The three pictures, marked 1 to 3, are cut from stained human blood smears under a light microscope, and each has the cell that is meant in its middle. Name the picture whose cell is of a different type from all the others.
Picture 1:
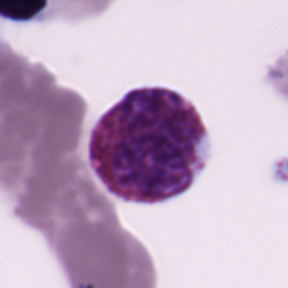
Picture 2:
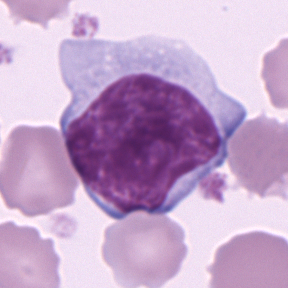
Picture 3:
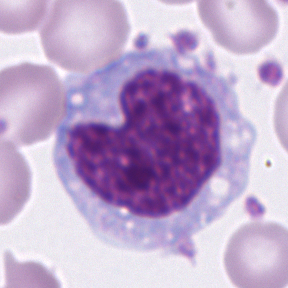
1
